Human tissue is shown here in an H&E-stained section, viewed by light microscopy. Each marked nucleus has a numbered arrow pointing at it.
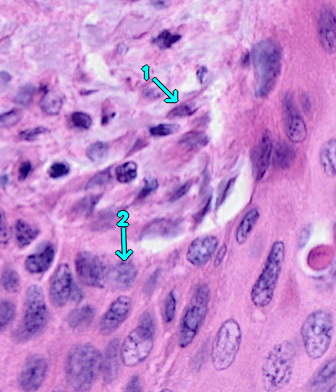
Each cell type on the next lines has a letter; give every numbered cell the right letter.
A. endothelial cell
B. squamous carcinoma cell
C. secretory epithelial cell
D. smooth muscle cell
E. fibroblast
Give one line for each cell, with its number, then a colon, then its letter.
1: E
2: B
